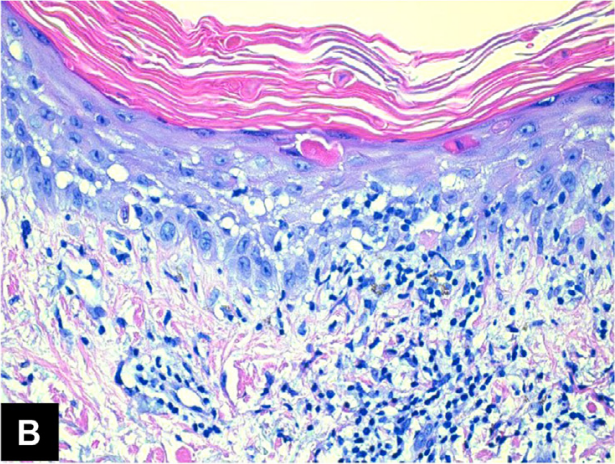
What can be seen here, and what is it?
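Epidermis beneath a compact, layered pink keratin layer, with clear vacuoles in the lower epidermal layers at the junction with the dermis. A few keratinocytes in the upper epidermis appear as rounded, bright pink, dense bodies, and many small lymphocytes with dark nuclei are scattered in the loose upper dermis and along the junction.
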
